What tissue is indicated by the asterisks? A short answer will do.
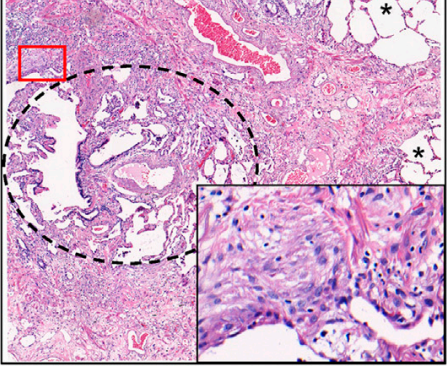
relatively unaffected lung parenchyma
